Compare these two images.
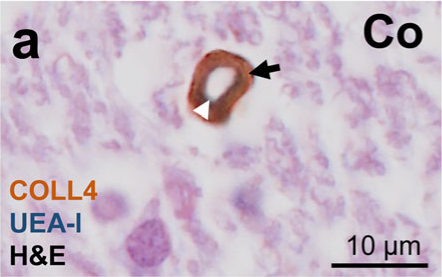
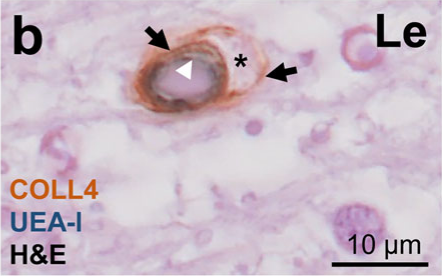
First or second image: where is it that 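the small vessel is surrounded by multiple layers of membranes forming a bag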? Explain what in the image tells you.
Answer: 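The second image. Second image: several brown membranes encircle the vessel with pink-filled space between them. First image: the vessel has a single compact brown wall with no surrounding layers.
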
